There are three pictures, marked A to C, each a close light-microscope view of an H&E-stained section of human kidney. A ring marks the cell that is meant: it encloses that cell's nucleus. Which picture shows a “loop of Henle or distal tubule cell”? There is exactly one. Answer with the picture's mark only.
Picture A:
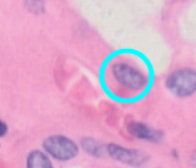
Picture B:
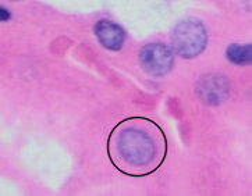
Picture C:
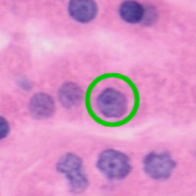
A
